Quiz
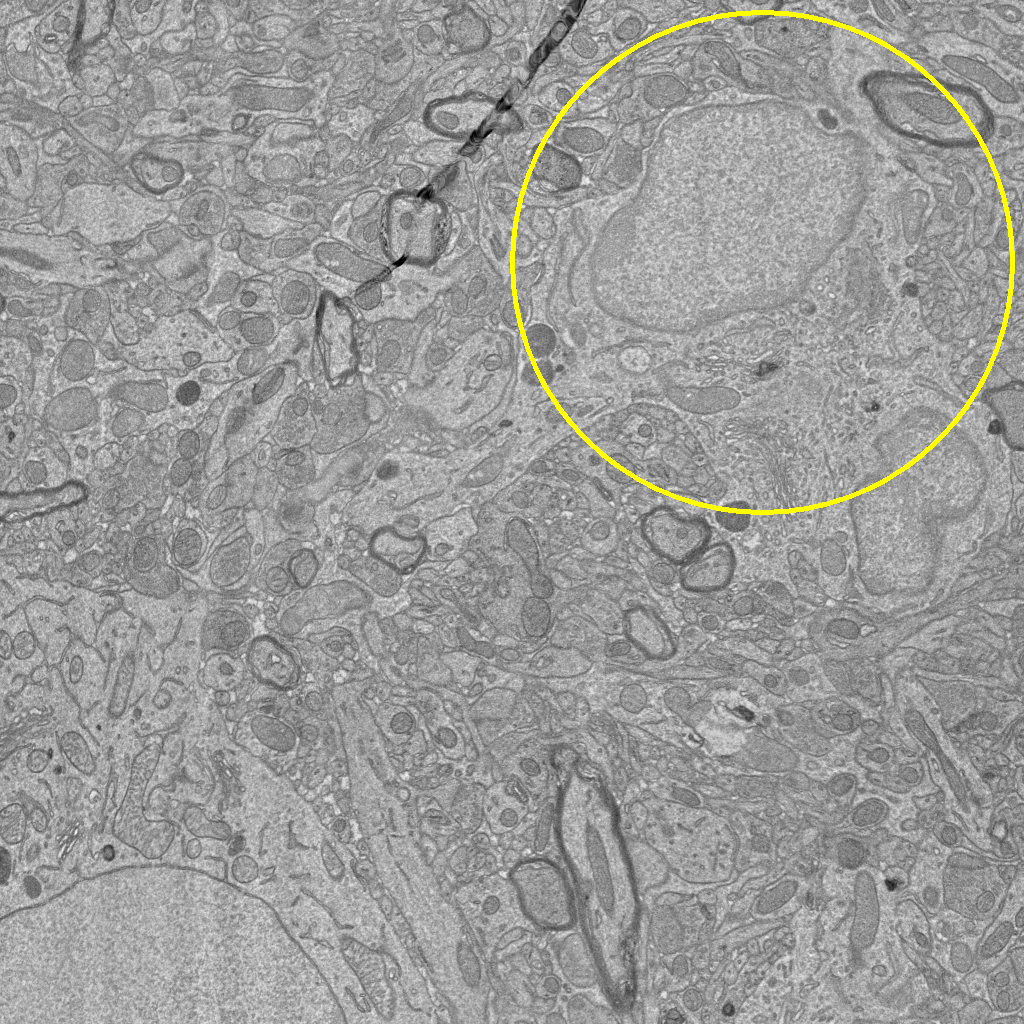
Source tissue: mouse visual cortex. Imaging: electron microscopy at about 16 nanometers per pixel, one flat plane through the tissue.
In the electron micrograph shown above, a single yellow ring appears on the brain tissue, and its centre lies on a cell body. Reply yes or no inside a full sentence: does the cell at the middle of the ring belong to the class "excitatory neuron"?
No, the cell lying at the ring's centre in the picture belongs to a different class.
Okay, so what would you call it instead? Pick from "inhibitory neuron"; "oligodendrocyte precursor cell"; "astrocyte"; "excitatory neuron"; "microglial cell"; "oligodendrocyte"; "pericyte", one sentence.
What the ring encloses here is an oligodendrocyte precursor cell.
